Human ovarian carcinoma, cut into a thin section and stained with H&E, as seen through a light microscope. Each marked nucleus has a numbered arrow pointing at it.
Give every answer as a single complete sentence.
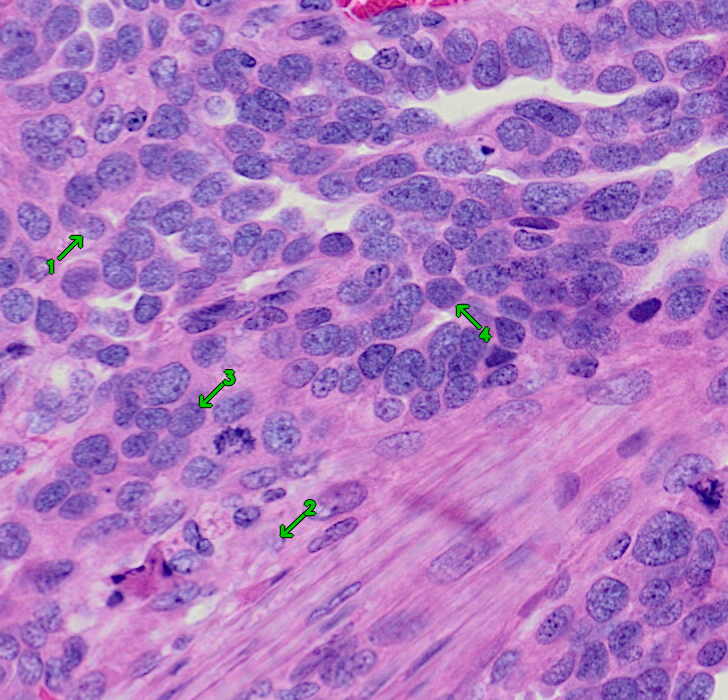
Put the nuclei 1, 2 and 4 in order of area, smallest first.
From smallest to largest, the order is 2, 1, 4.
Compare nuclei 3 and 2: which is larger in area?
Nucleus 3 is the larger one, covering about 3 times the area of nucleus 2.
